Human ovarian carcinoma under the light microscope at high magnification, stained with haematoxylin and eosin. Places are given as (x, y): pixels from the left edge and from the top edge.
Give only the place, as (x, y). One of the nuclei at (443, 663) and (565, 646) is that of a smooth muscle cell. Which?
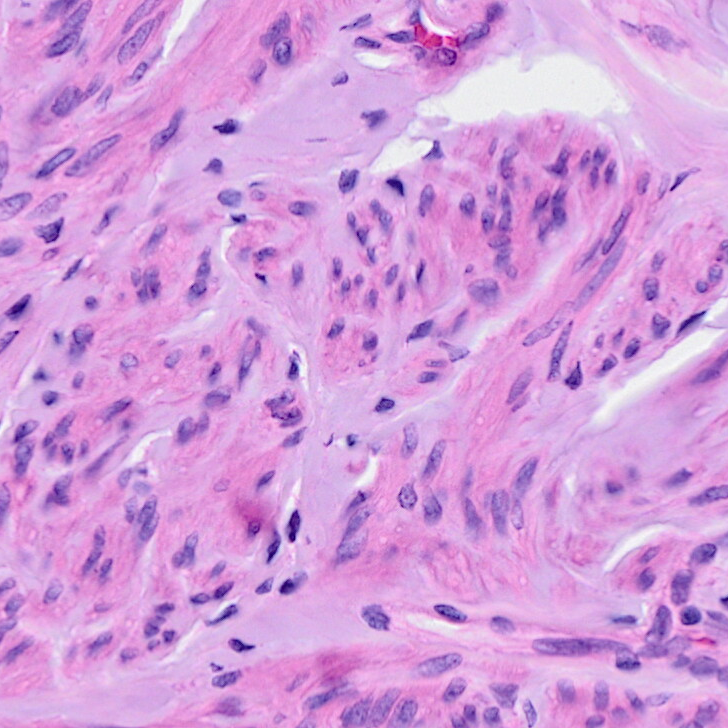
(443, 663)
